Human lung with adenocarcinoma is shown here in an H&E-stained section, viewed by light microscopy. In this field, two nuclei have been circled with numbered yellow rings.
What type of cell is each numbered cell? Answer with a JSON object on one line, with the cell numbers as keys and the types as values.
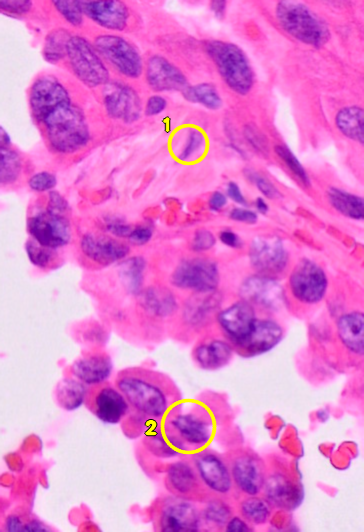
{"1": "fibroblast", "2": "carcinoma cell"}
